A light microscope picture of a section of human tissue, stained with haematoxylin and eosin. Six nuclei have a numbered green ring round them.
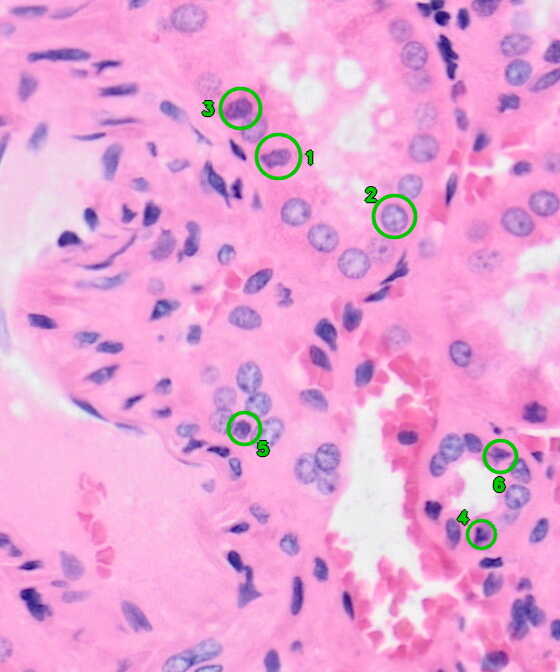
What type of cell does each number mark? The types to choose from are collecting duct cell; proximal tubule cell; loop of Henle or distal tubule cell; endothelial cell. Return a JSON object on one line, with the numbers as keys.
{"1": "proximal tubule cell", "2": "proximal tubule cell", "3": "proximal tubule cell", "4": "collecting duct cell", "5": "collecting duct cell", "6": "collecting duct cell"}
